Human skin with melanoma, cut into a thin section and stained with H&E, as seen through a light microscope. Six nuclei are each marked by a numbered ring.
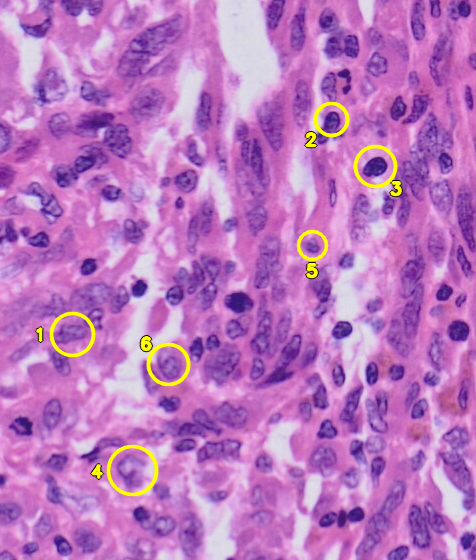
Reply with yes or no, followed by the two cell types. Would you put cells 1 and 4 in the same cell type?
Yes, cell 1 is among the melanoma cells, and cell 4 is as well.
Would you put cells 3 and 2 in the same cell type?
Yes, cells 3 and 2 are both lymphocytes in this section.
